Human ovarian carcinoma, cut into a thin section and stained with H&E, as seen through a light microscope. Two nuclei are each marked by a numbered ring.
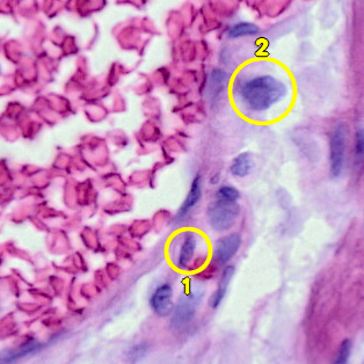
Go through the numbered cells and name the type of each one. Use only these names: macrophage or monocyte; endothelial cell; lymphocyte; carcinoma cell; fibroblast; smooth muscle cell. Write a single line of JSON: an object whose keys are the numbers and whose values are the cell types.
{"1": "endothelial cell", "2": "fibroblast"}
